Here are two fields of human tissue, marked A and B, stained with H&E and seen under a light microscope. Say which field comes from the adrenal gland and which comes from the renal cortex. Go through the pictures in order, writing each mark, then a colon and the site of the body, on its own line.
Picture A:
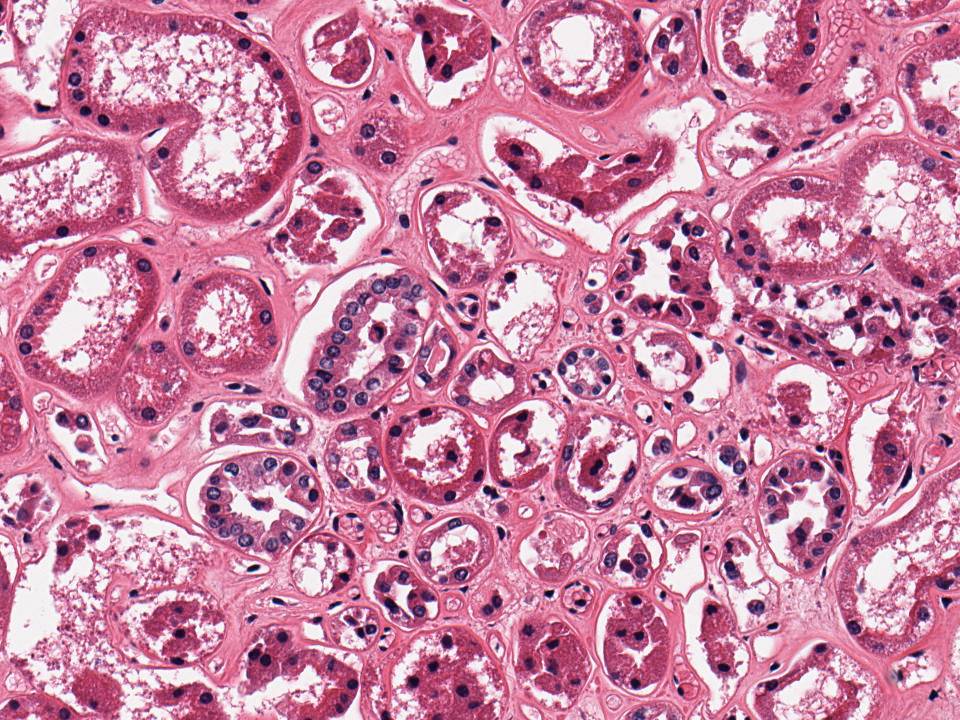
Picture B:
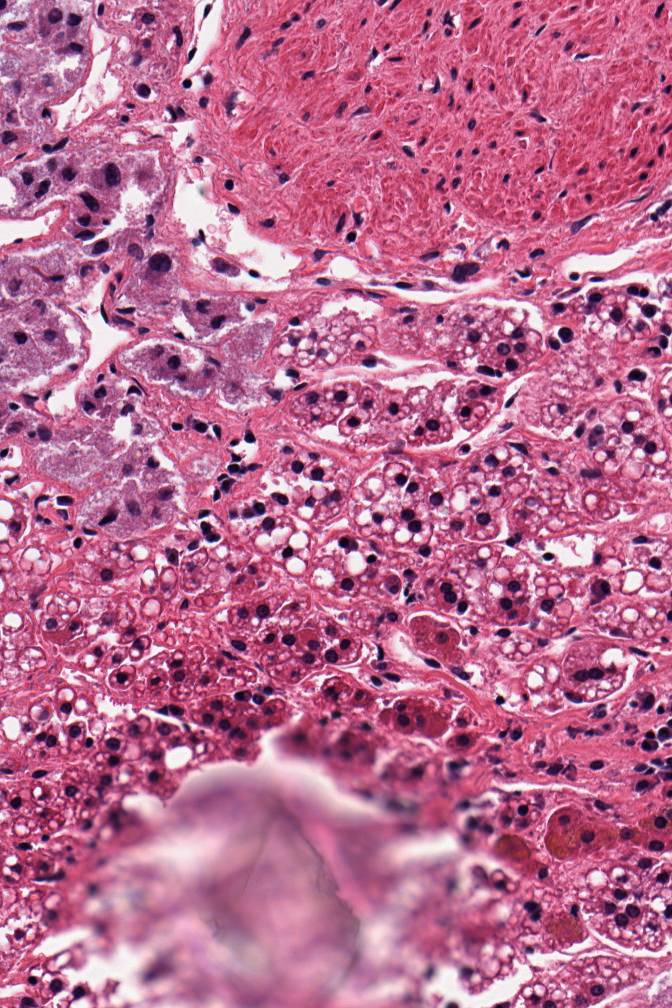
A: renal cortex
B: adrenal gland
